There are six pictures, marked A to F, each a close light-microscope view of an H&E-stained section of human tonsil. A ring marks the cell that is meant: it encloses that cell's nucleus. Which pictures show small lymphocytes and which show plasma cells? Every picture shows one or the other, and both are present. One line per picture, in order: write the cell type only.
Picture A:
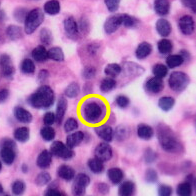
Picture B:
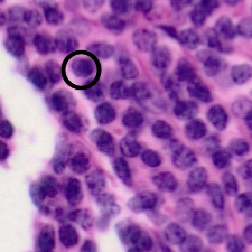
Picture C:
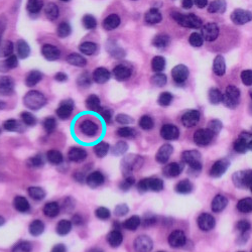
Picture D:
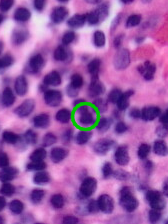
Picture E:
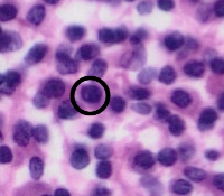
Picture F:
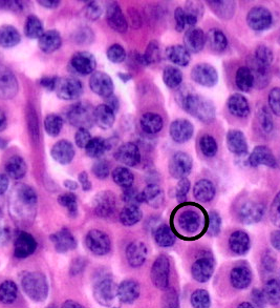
plasma cell
small lymphocyte
plasma cell
small lymphocyte
plasma cell
plasma cell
